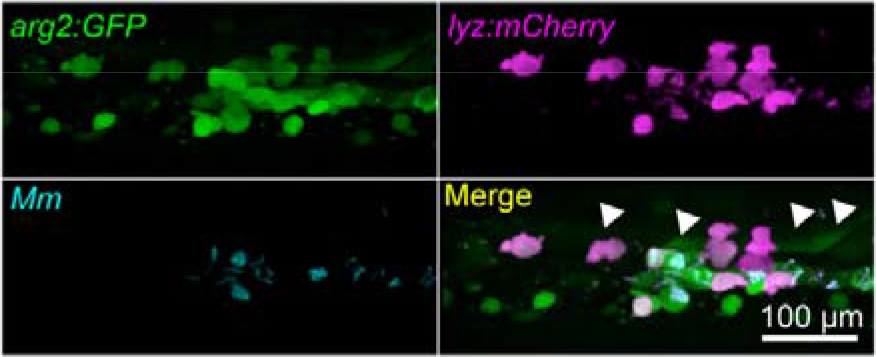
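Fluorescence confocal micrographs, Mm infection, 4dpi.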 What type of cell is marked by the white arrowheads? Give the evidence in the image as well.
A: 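Some of these magenta cells also carry green fluorescence. That points to this answer: neutrophils.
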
